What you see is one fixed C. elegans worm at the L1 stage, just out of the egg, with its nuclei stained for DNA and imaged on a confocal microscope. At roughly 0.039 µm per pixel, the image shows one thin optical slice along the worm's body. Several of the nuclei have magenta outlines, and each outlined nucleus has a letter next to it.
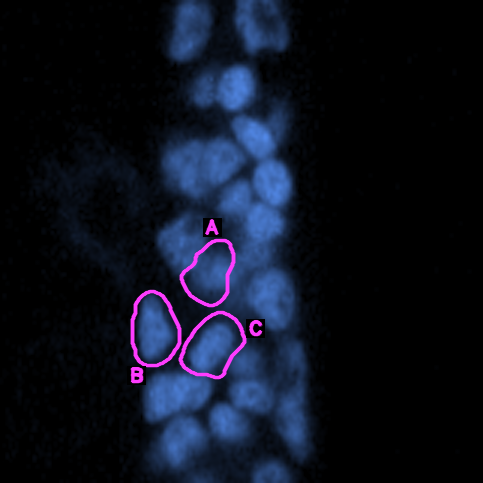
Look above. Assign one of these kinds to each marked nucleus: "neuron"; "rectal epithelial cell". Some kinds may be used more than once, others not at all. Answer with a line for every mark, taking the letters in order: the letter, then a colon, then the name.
A: neuron
B: rectal epithelial cell
C: rectal epithelial cell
